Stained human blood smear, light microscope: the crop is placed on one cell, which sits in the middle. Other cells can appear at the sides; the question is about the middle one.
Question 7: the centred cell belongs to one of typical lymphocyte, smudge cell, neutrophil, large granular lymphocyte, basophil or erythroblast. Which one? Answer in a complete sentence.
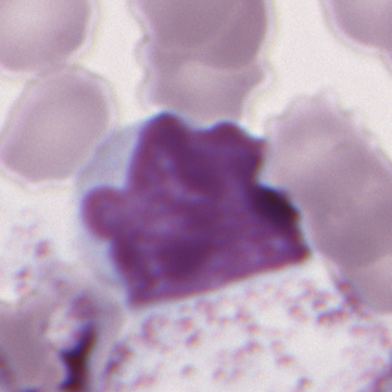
This particular crop is centered on a large granular lymphocyte.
